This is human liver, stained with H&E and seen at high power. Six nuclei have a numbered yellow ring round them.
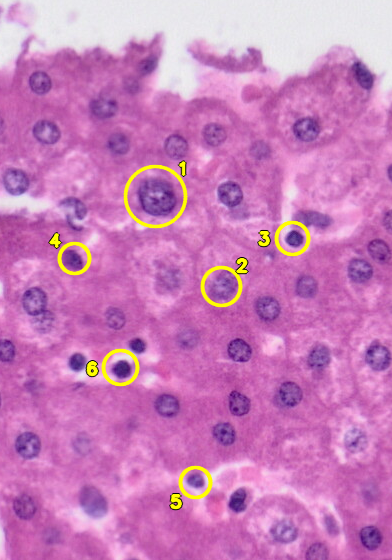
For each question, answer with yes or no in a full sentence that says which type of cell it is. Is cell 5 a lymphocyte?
Yes, the numbered nucleus 5 is that of a lymphocyte.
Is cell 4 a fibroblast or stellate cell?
Yes, in the section, number 4 is a fibroblast or stellate cell.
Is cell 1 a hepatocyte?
Yes, the marked cell with number 1 is a hepatocyte.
